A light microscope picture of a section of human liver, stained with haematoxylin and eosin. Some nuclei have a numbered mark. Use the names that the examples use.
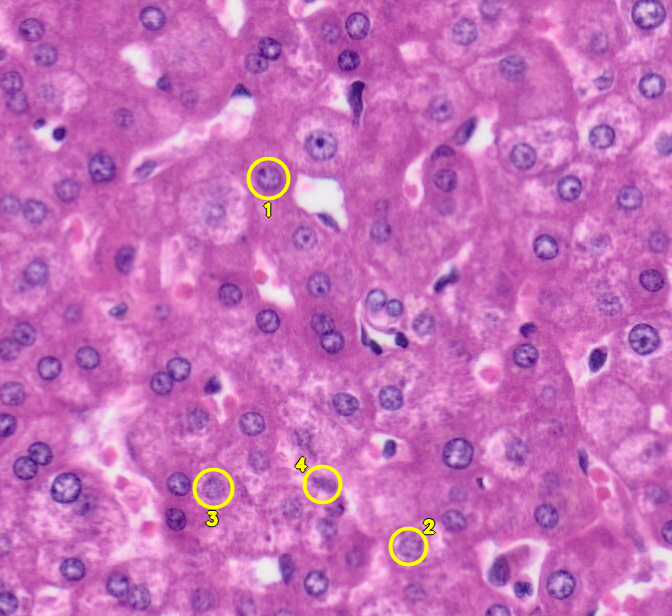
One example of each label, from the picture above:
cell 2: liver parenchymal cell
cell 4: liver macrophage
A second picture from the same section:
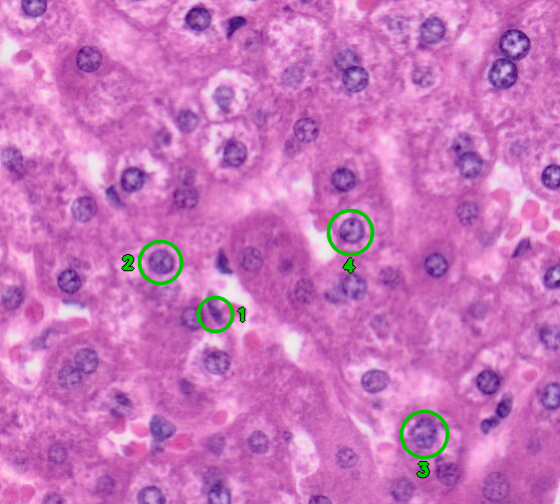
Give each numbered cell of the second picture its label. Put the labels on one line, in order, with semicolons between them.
liver macrophage; liver parenchymal cell; liver parenchymal cell; liver parenchymal cell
